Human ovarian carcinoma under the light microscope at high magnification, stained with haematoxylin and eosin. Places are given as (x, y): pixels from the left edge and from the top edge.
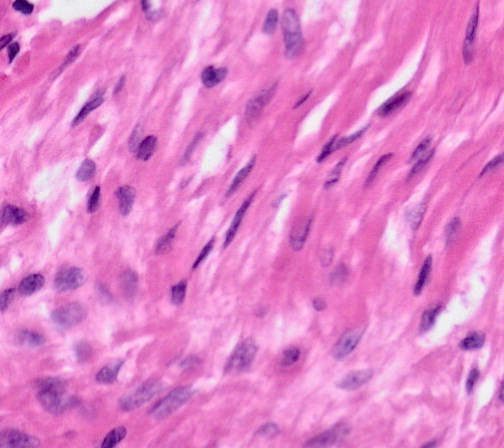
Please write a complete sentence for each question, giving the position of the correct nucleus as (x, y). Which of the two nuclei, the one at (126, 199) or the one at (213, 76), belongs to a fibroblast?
It is at (126, 199) that the nucleus of a fibroblast is found.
